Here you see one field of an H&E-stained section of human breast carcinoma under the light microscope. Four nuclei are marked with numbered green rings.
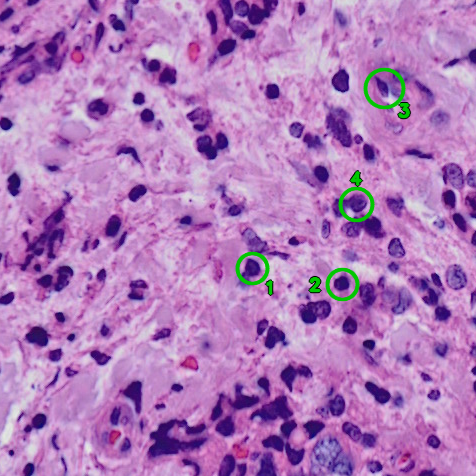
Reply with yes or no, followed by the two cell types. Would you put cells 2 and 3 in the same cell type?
No; cell 2 is a lymphocyte, whereas cell 3 is an endothelial cell.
